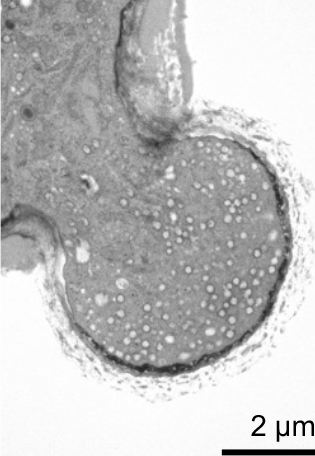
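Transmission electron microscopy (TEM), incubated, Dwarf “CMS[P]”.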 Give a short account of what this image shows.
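A pollen grain shows a swollen aperture, where a rounded bulge of cytoplasm protrudes through a narrow gap in the thick outer wall. The bulge is bounded by a thin dark wall with loose fibrillar material outside it, and its cytoplasm is filled with small pale vesicles.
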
